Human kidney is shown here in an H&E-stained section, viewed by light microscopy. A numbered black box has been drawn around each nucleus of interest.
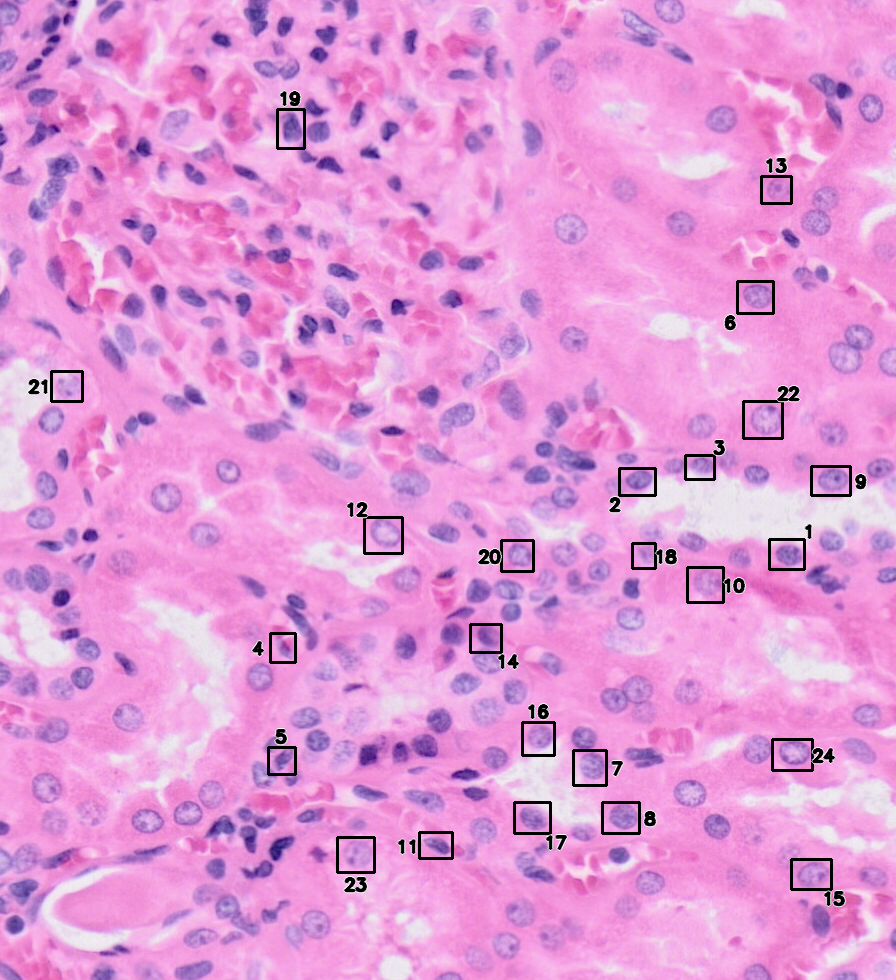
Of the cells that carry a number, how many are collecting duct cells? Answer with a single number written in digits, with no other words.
1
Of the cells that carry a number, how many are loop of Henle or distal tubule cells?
11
